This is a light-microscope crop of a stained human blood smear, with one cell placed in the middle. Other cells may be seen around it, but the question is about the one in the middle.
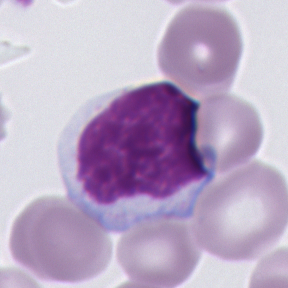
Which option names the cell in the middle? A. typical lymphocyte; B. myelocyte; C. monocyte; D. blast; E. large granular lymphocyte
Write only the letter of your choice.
E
